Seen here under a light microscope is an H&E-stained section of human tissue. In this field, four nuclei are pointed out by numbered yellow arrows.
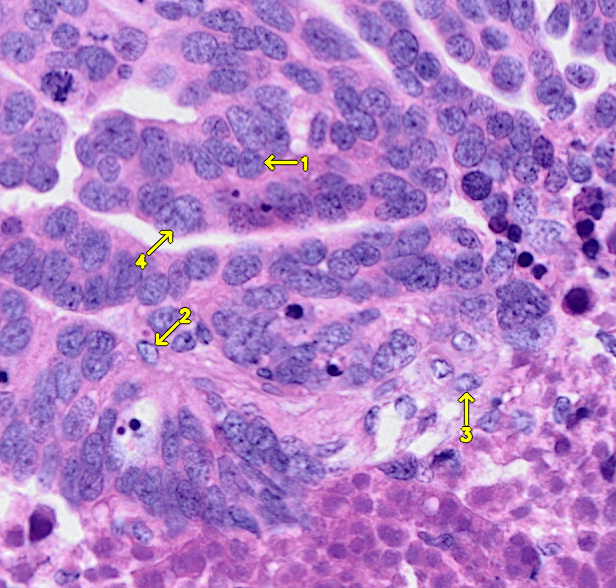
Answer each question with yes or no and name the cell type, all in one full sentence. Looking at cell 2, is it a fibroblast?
Yes, among the marked cells, the one with number 2 is a fibroblast.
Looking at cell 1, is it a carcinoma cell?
Yes, the numbered cell 1 is a carcinoma cell.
